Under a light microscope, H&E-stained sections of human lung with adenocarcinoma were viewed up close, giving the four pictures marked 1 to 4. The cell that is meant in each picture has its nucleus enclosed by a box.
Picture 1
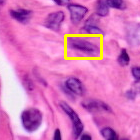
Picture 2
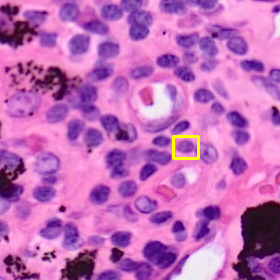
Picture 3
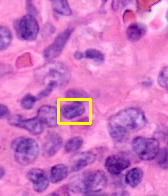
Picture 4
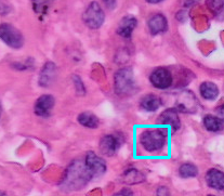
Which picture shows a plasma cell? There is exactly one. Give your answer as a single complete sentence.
The picture with the plasma cell is 1.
